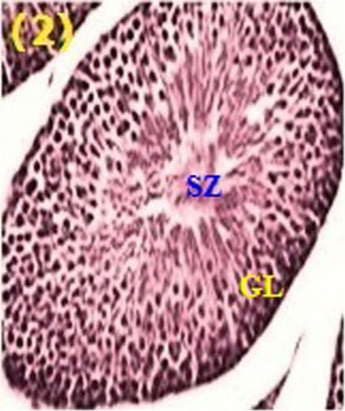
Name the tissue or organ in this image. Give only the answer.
Testes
